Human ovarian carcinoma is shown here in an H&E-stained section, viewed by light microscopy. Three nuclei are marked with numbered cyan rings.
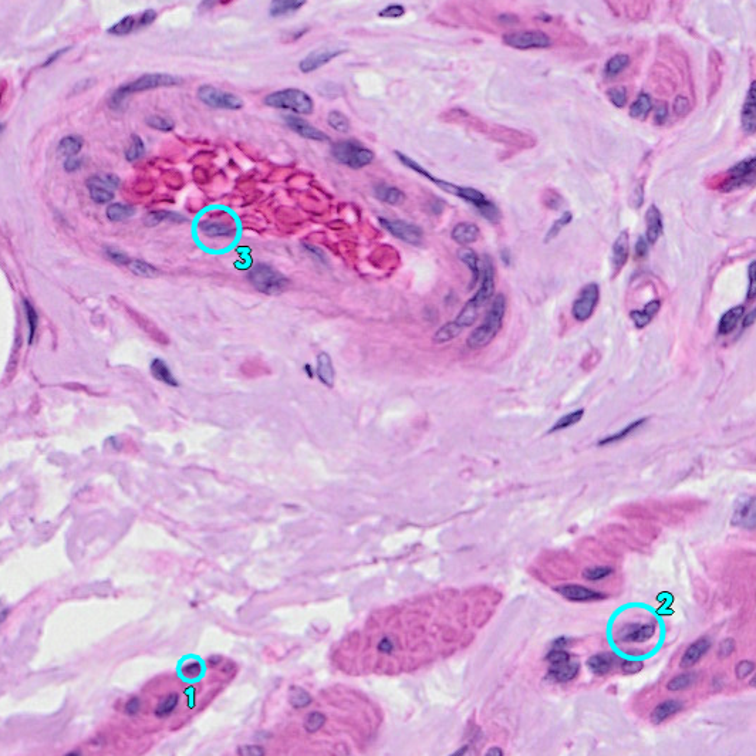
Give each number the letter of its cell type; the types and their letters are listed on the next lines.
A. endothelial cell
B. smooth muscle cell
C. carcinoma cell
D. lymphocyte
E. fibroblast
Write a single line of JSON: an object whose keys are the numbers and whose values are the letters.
{"1": "B", "2": "A", "3": "A"}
